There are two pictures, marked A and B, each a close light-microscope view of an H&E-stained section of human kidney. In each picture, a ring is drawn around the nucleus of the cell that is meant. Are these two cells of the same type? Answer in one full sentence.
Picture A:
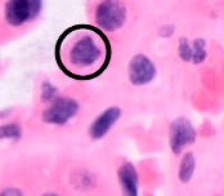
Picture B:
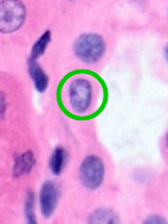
Yes, the two pictures both show “loop of Henle or distal tubule cells”.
